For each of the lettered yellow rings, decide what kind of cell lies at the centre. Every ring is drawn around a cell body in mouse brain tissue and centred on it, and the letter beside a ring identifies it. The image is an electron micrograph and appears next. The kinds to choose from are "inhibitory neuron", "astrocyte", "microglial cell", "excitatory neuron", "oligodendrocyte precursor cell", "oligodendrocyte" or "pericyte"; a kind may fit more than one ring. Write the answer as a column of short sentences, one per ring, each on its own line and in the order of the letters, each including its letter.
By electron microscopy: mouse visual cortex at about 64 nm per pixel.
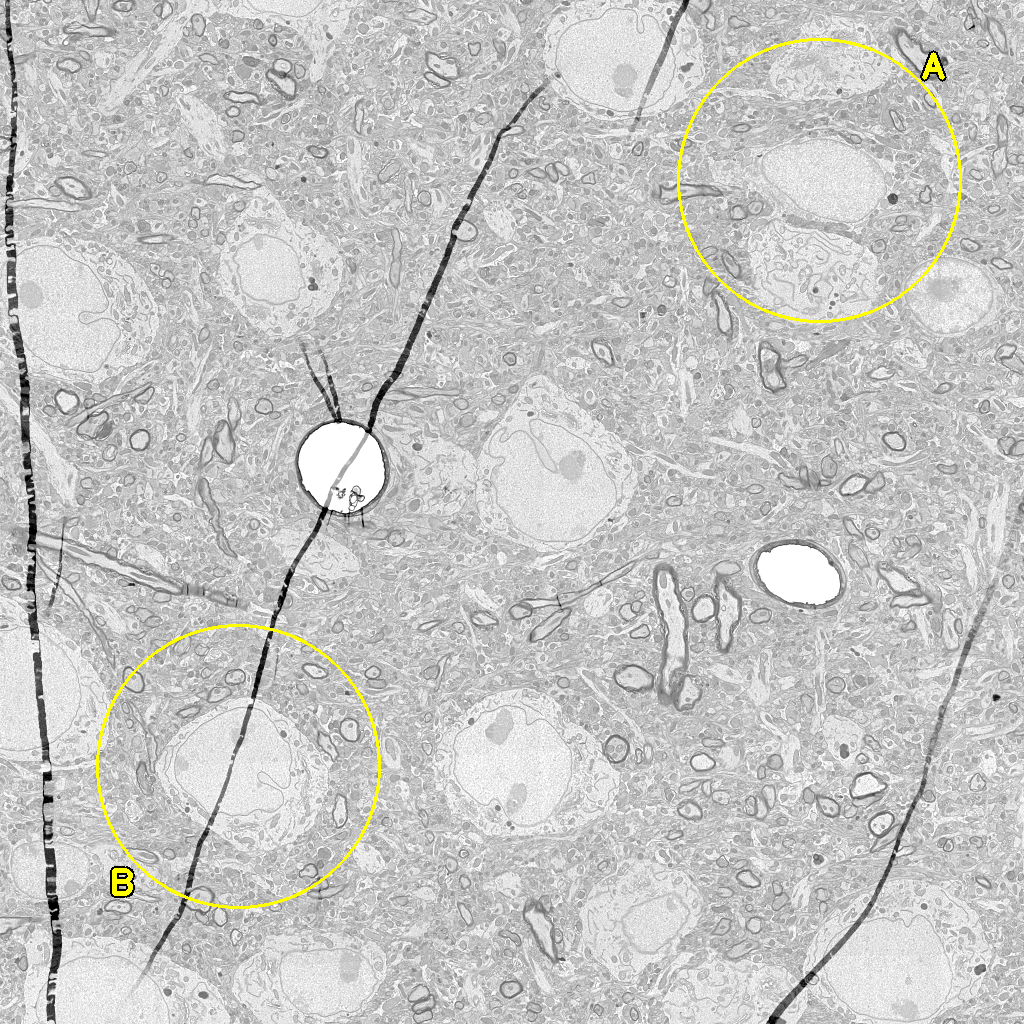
In the centre of ring A lies an astrocyte.
In the centre of ring B lies an excitatory neuron.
